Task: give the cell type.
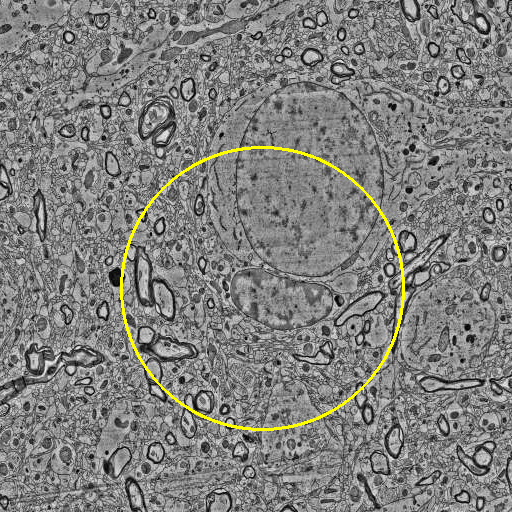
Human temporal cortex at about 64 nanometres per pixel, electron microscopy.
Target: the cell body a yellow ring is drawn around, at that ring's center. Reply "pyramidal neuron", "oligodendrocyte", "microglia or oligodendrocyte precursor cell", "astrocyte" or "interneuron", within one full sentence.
In this picture, the cell whose body lies at the ring's center is a microglial cell or oligodendrocyte precursor cell.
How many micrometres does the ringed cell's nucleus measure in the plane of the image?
About 16 by 10 micrometres, the nucleus being clearly longer than it is wide in this plane.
